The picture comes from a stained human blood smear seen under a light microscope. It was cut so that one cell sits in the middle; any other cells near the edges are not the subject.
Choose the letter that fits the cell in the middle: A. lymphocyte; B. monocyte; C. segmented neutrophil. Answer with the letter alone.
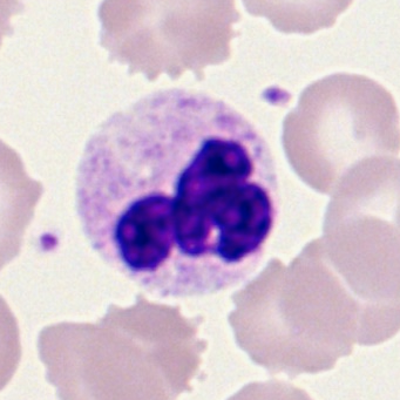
C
